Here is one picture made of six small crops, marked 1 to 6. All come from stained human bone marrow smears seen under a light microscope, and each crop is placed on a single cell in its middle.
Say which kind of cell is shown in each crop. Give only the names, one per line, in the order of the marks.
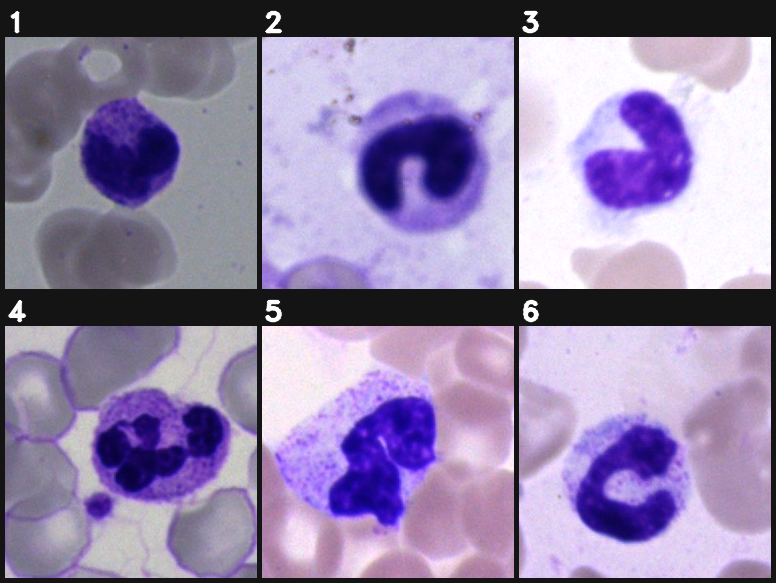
segmented neutrophil
band neutrophil
band neutrophil
segmented neutrophil
segmented neutrophil
band neutrophil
